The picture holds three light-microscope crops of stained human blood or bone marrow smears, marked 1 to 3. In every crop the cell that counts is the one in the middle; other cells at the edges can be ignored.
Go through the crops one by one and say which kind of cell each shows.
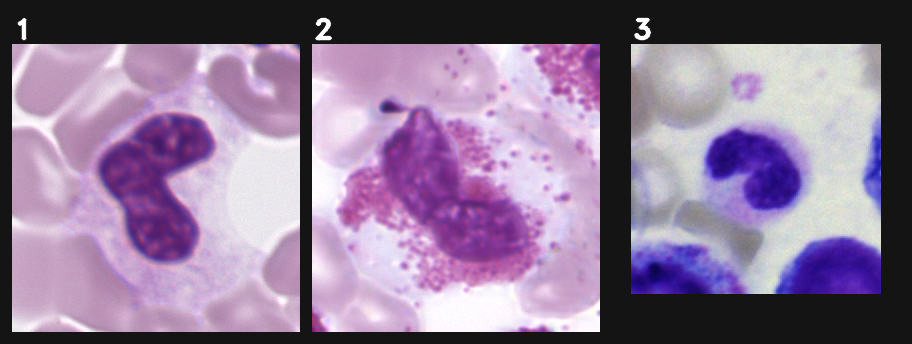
1: band neutrophil
2: eosinophil
3: band neutrophil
